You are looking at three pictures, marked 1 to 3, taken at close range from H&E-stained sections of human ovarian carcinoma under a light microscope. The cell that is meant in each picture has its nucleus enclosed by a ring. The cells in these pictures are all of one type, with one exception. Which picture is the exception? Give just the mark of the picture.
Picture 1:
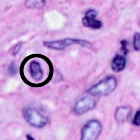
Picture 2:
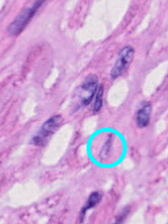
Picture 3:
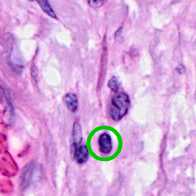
2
